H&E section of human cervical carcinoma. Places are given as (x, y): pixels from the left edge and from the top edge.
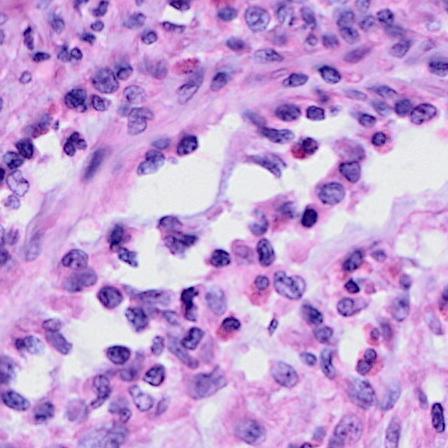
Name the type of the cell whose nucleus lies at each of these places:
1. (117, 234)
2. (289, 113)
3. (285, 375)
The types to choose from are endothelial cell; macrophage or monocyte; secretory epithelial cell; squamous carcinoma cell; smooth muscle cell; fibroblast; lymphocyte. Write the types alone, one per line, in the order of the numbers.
lymphocyte
lymphocyte
macrophage or monocyte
